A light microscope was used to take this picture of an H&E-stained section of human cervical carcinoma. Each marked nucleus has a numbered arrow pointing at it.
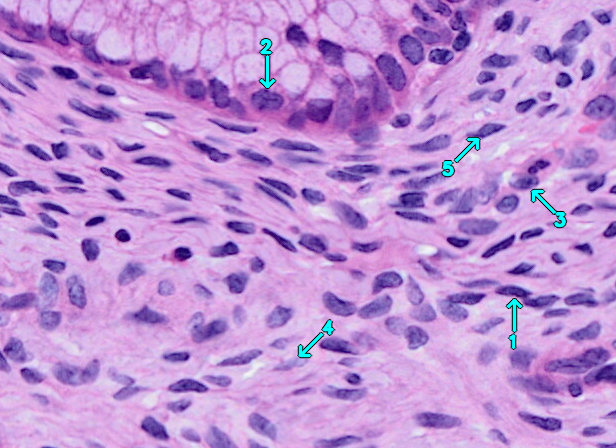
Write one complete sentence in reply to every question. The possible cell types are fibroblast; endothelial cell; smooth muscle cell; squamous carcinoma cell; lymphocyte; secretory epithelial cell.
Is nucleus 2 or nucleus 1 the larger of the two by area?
Number 2 is larger; its area is about 2 times that of number 1.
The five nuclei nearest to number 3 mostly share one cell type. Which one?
Most of the five nuclei nearest to number 3 are those of endothelial cells.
